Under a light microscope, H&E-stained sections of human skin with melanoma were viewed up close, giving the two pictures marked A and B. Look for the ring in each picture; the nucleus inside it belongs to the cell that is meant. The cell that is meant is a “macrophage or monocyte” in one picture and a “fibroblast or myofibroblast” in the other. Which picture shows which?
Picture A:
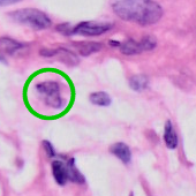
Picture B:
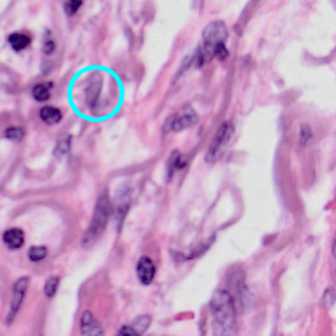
A: macrophage or monocyte
B: fibroblast or myofibroblast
